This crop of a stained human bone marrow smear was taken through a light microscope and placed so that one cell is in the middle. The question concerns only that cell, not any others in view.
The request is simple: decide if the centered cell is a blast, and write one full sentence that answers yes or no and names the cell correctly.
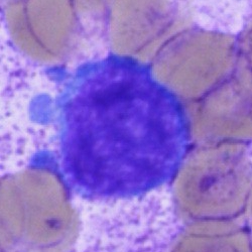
Yes, the crop's central cell is a blast.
